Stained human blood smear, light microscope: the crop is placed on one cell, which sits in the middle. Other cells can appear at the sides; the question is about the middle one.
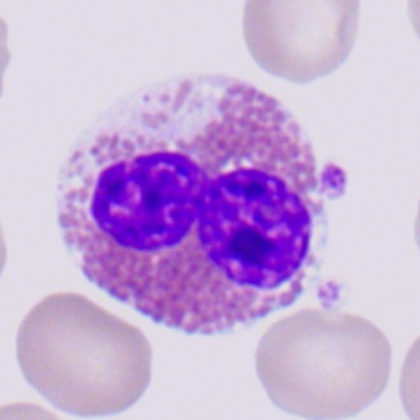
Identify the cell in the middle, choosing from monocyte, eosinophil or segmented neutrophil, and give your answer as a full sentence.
The centered cell in this crop is an eosinophil.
